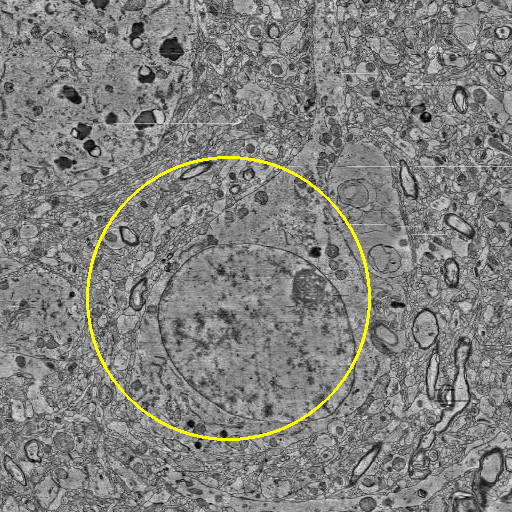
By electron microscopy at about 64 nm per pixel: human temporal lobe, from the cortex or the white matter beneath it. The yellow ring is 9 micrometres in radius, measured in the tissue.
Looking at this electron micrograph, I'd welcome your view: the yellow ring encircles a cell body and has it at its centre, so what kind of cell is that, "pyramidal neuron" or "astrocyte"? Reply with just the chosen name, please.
pyramidal neuron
